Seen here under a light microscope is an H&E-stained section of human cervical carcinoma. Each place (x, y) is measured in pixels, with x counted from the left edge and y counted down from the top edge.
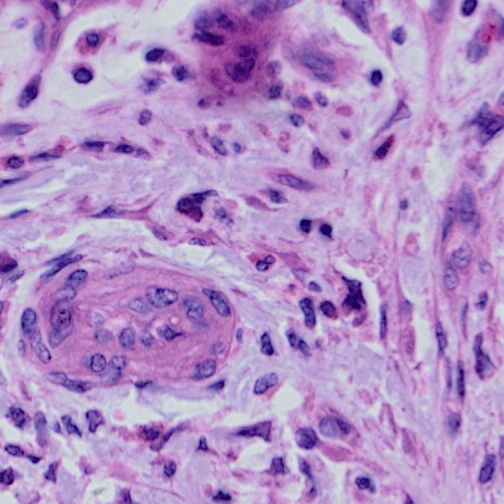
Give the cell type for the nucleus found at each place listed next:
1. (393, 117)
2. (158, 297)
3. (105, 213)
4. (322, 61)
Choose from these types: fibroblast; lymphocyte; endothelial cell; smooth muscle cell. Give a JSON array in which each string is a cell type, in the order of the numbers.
["fibroblast", "smooth muscle cell", "fibroblast", "endothelial cell"]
